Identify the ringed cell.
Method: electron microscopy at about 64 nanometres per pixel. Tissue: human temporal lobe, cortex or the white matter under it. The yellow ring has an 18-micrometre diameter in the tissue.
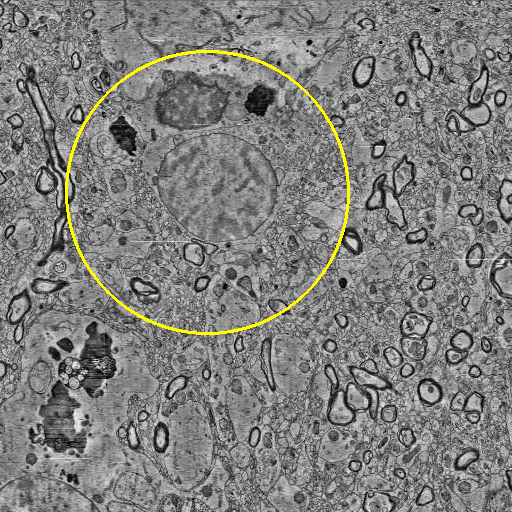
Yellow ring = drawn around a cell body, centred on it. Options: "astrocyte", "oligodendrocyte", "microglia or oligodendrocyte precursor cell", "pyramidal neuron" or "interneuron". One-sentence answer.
What the ring is centred on is an oligodendrocyte.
